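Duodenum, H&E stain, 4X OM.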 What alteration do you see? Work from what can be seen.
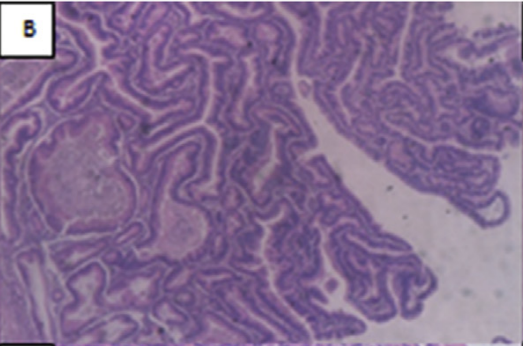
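Tubulo-villosus adenoma. Long branching finger-like fronds lined by epithelium. Lining epithelium has crowded dark purple nuclei. Fronds project into an empty lumen.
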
